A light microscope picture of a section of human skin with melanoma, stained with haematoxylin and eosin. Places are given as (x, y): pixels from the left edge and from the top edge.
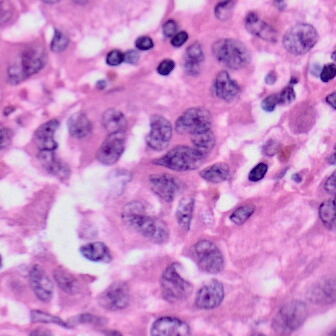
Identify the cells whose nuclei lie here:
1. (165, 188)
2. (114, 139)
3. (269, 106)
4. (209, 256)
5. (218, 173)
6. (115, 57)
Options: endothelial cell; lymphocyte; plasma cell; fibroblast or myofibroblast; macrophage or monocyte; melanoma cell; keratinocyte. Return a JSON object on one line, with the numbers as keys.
{"1": "melanoma cell", "2": "melanoma cell", "3": "lymphocyte", "4": "melanoma cell", "5": "macrophage or monocyte", "6": "lymphocyte"}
